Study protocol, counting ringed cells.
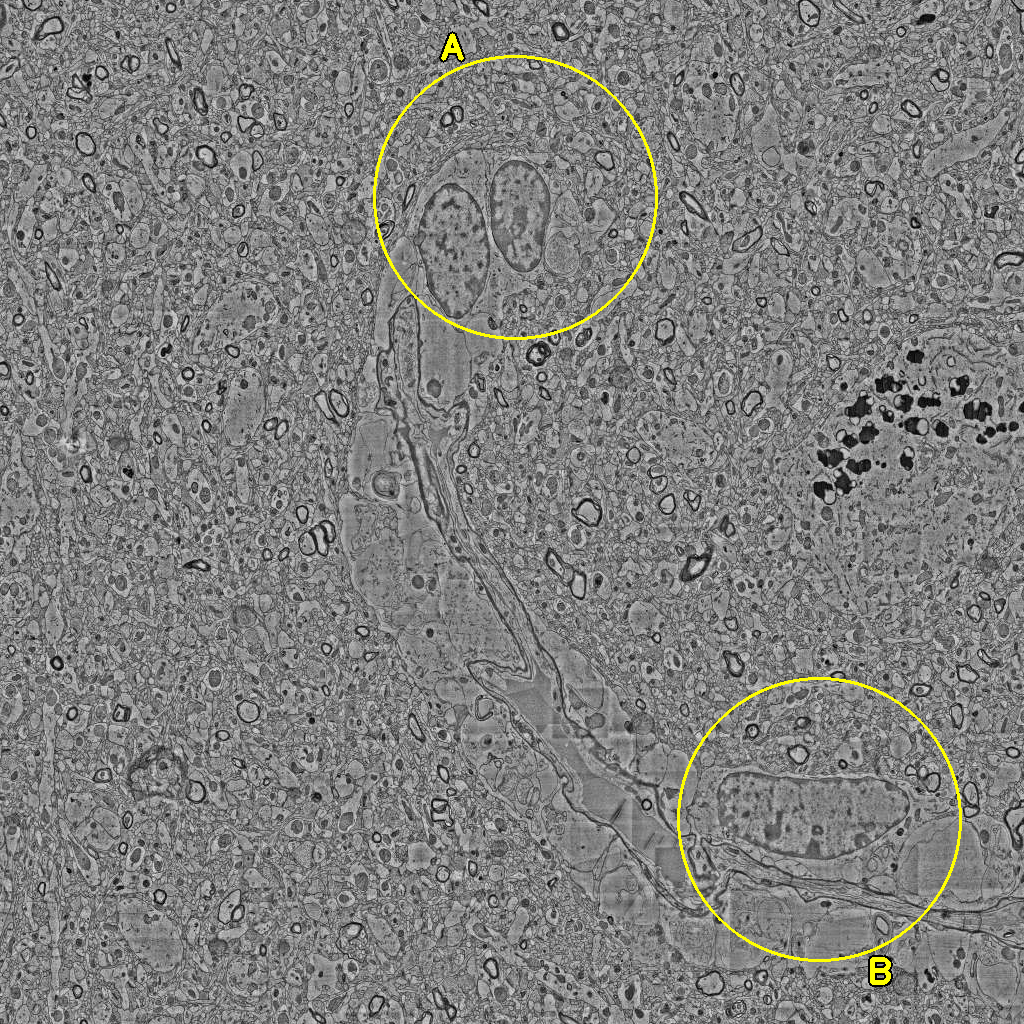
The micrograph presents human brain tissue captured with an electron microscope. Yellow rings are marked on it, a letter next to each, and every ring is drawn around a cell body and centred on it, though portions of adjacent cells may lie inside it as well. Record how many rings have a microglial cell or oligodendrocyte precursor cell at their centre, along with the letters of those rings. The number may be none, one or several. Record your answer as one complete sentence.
Taken together, the rings with the letters A and B number two, each centred on a microglial cell or oligodendrocyte precursor cell.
